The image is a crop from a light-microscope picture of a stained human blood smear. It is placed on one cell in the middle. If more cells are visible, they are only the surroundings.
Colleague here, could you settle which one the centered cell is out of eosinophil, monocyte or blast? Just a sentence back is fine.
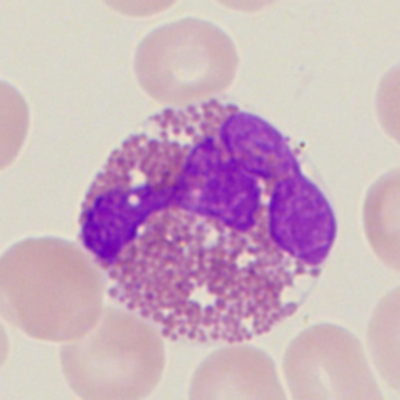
The middle cell in this particular crop is an eosinophil.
